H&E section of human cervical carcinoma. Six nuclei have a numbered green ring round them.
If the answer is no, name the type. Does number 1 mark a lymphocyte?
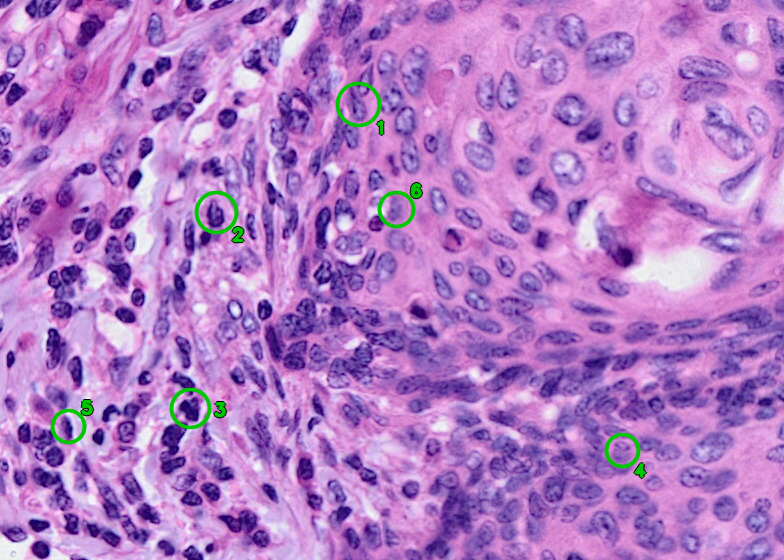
No, it is a squamous carcinoma cell.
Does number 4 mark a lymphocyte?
No, it is a squamous carcinoma cell.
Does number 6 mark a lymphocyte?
No, it is a squamous carcinoma cell.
